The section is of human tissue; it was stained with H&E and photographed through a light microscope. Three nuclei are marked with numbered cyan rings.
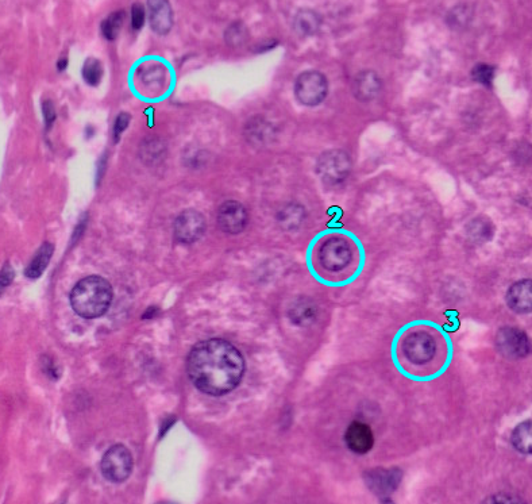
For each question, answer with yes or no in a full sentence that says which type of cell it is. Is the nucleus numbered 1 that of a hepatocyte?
No, cell 1 is a cholangiocyte, not a hepatocyte.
